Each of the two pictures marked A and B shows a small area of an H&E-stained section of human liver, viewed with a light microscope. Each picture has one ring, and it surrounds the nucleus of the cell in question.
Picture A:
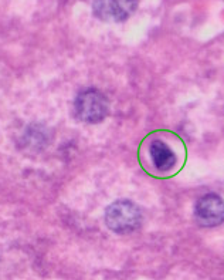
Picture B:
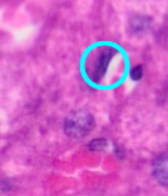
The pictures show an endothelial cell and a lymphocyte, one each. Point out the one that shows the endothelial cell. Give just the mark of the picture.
B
